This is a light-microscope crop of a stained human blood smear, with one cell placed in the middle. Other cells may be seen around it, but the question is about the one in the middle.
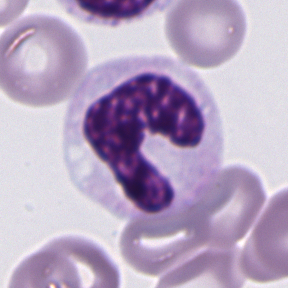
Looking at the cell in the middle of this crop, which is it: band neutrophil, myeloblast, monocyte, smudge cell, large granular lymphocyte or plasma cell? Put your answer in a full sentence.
The crop centres on a single cell, and that cell is a band neutrophil.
